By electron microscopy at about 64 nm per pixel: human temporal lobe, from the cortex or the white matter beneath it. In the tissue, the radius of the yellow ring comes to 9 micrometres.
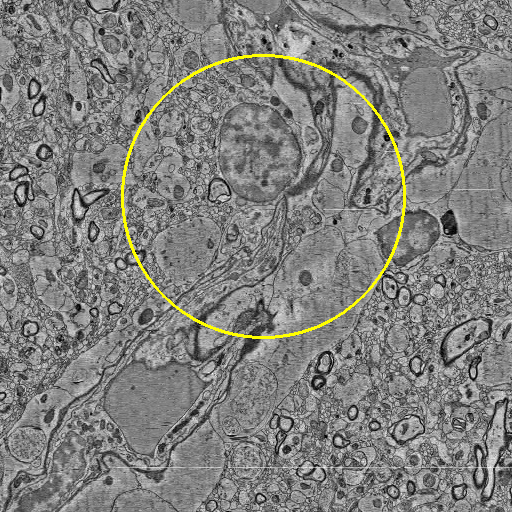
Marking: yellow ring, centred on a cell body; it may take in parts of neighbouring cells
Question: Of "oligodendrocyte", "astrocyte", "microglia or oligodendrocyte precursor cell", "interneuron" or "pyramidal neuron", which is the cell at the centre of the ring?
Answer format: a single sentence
The ring surrounds the body of an oligodendrocyte.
